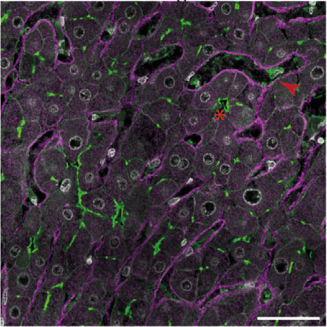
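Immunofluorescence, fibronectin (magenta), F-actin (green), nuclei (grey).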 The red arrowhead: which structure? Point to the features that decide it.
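An elongated channel lined by magenta signal. It lies between cords of cells with round nuclei.
Answer: sinusoids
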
